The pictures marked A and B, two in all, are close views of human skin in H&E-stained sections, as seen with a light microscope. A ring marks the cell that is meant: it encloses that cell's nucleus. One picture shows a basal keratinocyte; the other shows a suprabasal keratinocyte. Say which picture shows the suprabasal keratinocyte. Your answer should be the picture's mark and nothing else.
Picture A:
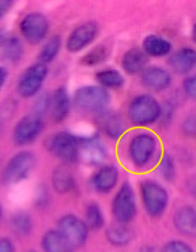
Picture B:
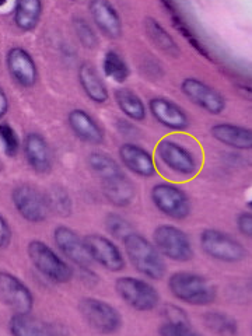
B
